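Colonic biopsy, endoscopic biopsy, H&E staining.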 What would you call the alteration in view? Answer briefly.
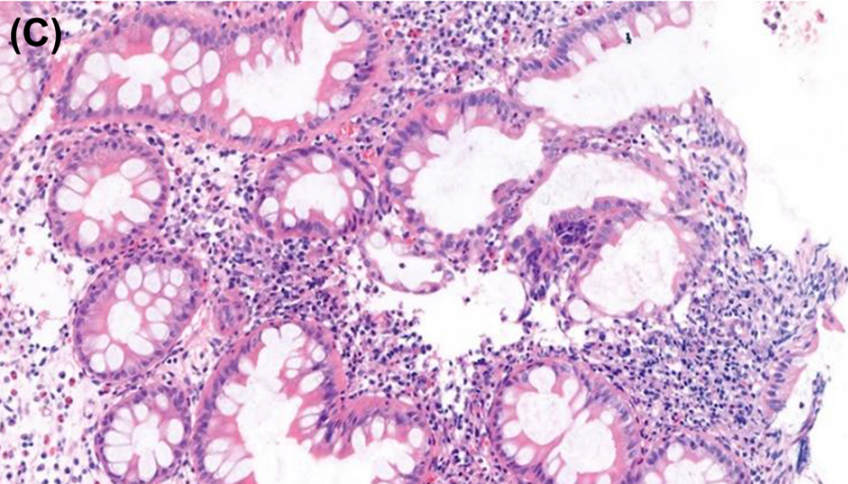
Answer: Crypt distortion.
